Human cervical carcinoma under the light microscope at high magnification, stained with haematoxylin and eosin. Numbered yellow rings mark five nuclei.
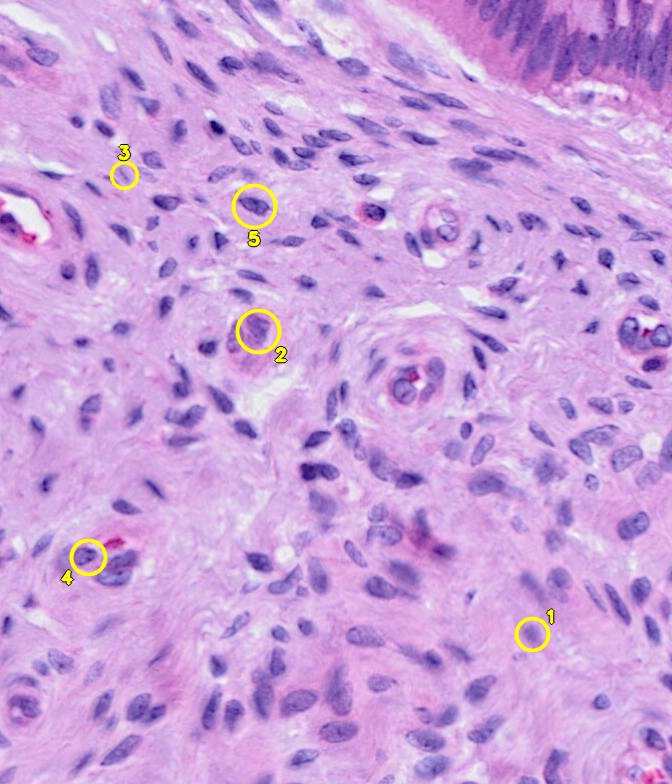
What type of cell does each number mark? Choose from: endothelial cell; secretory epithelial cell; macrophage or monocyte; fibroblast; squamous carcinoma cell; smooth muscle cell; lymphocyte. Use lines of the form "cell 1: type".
cell 1: fibroblast
cell 2: endothelial cell
cell 3: fibroblast
cell 4: endothelial cell
cell 5: fibroblast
